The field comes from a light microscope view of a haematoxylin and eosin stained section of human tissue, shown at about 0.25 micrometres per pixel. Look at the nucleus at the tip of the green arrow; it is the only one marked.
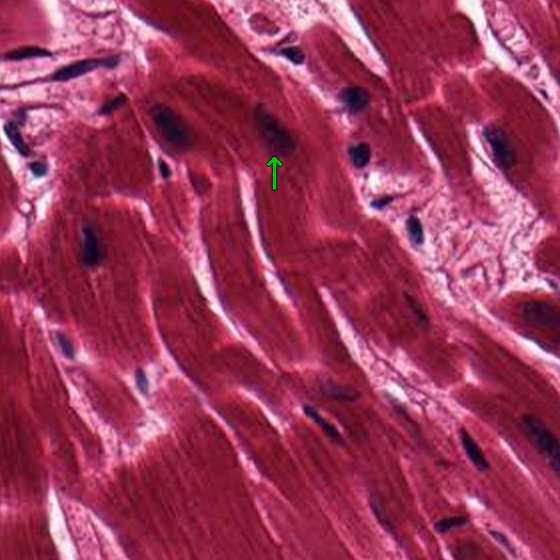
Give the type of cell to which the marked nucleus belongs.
cardiomyocyte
